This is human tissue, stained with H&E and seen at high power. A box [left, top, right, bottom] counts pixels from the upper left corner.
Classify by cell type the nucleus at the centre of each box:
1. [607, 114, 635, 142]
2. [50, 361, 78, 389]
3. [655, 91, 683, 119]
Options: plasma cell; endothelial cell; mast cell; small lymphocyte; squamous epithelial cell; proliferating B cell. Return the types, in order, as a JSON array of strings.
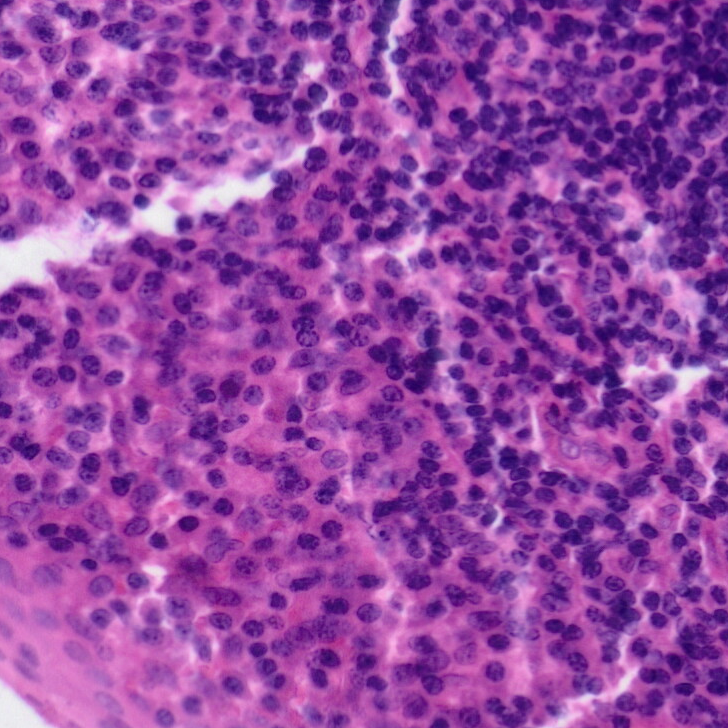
["small lymphocyte", "plasma cell", "small lymphocyte"]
